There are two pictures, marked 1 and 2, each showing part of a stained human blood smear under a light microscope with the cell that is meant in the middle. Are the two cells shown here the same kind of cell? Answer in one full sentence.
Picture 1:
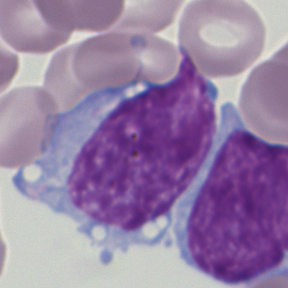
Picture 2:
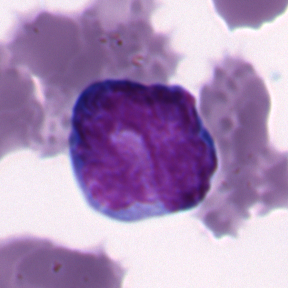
Yes, the two pictures both show myeloblasts.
